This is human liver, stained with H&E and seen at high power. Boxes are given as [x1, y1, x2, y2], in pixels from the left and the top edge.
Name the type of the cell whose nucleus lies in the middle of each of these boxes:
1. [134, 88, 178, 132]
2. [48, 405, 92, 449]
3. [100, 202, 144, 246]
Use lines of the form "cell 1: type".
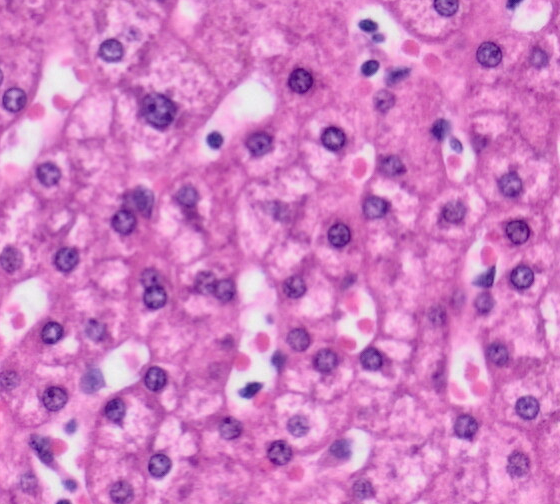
cell 1: hepatocyte
cell 2: lymphocyte
cell 3: hepatocyte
